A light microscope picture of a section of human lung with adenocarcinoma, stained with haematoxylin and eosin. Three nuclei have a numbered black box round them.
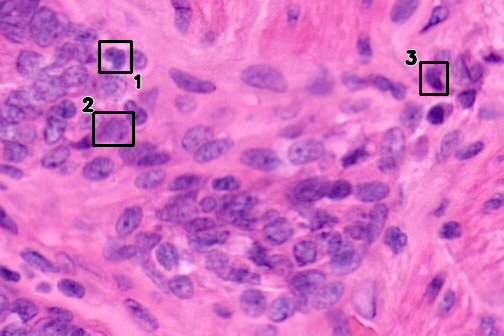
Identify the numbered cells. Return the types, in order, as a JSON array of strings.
["lymphocyte", "ciliated epithelial cell", "plasma cell"]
